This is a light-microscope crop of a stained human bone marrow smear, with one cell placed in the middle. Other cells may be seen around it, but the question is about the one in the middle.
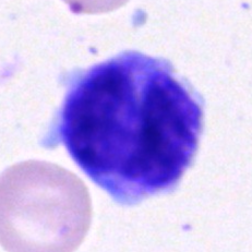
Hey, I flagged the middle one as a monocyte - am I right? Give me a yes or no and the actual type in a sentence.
Yes, it is a monocyte that occupies the centre of the crop.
